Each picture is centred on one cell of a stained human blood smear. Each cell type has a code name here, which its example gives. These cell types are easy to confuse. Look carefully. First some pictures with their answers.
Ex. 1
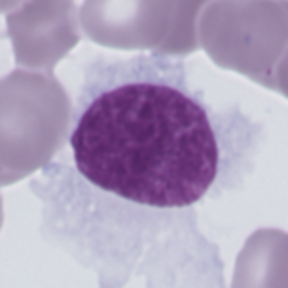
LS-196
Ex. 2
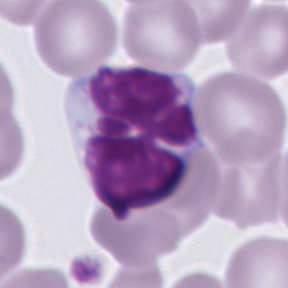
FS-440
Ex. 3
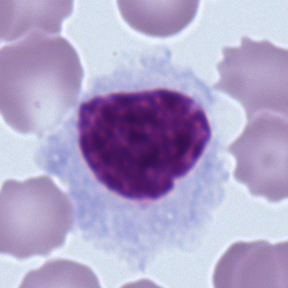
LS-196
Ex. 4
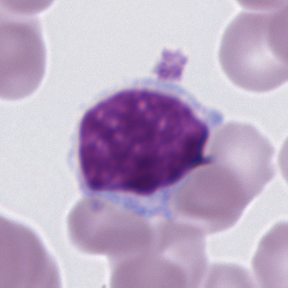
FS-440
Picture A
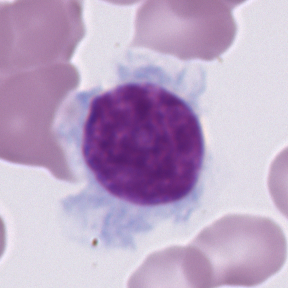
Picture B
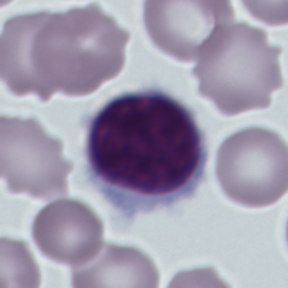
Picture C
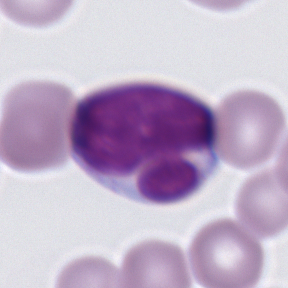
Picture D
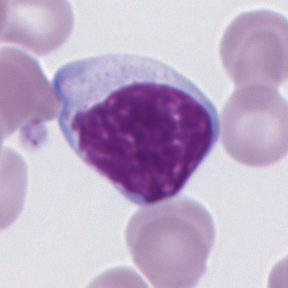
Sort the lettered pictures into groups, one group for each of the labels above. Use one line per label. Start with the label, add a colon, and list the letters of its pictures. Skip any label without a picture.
LS-196: A, B
FS-440: C, D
